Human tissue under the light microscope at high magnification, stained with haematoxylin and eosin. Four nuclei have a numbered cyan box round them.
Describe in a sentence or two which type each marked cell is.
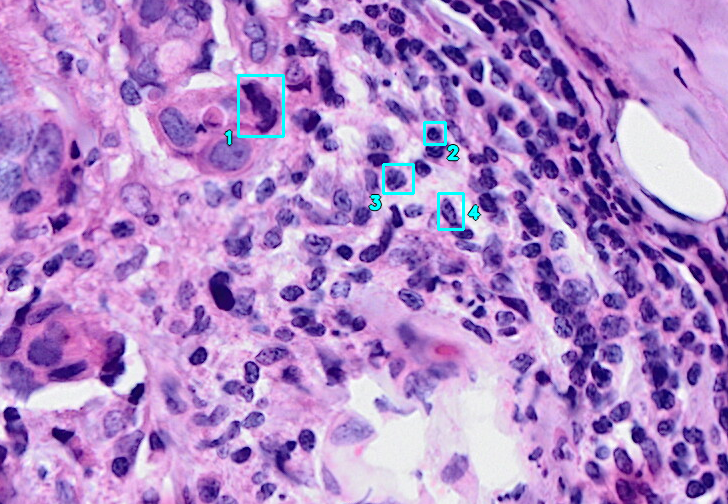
Cell 1 is a carcinoma cell. Cells 2, 3 and 4 are lymphocytes.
